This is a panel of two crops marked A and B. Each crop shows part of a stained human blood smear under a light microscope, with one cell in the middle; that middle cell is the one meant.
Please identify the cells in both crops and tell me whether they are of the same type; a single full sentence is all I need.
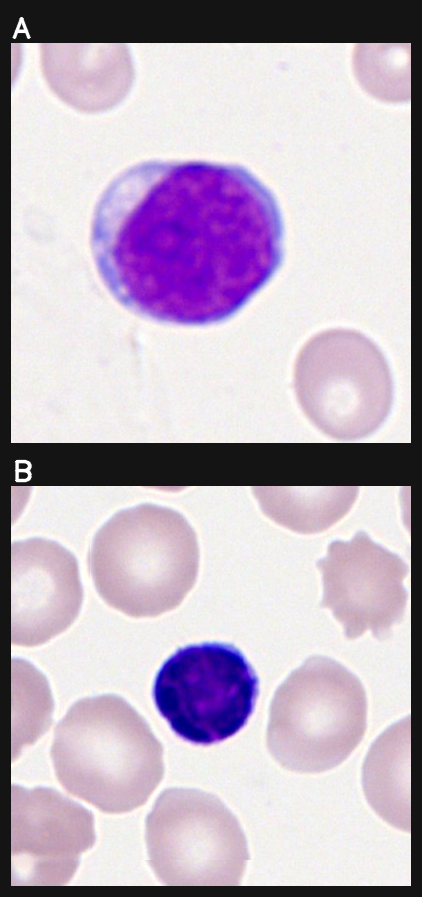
Yes, the cells found in the middle of both crops are lymphocytes.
